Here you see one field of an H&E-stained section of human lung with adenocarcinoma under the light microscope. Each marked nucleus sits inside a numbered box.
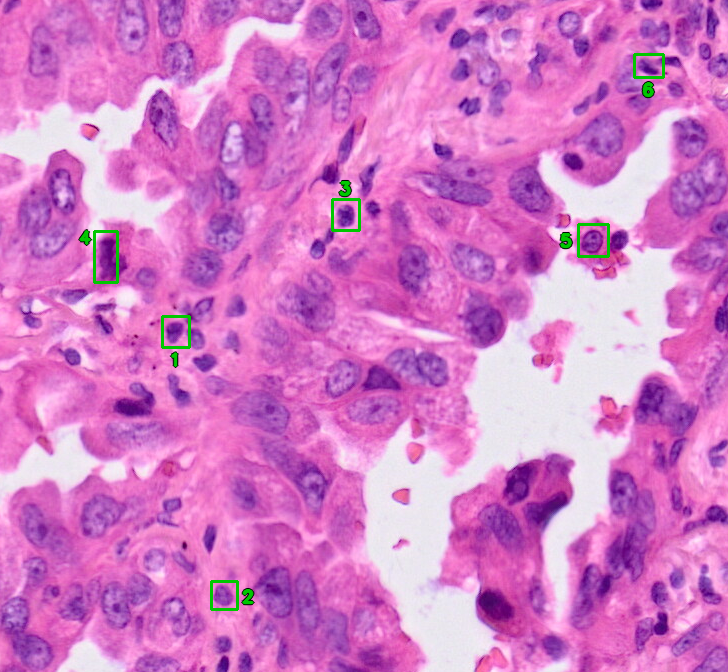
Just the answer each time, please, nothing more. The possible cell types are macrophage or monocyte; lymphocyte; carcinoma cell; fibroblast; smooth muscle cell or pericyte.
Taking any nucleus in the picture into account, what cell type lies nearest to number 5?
lymphocyte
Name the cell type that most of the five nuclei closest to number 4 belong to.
carcinoma cell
